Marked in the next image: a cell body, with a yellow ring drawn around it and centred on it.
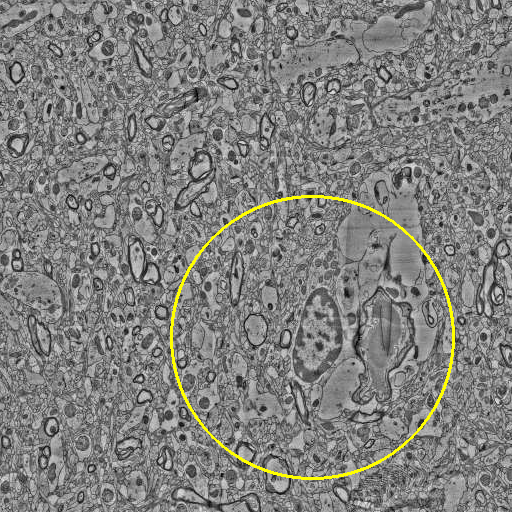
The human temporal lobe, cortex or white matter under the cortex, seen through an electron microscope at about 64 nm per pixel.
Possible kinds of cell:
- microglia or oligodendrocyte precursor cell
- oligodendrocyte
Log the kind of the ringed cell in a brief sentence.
The ringed cell body is that of a microglial cell or oligodendrocyte precursor cell.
